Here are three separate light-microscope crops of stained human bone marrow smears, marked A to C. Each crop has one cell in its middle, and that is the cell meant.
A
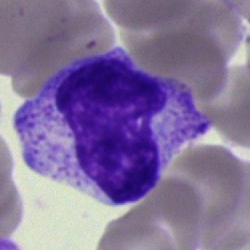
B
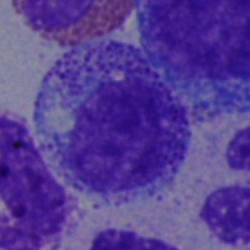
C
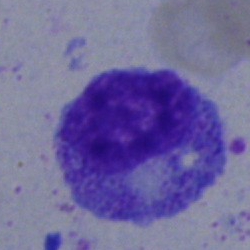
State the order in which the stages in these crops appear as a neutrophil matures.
B, C, A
